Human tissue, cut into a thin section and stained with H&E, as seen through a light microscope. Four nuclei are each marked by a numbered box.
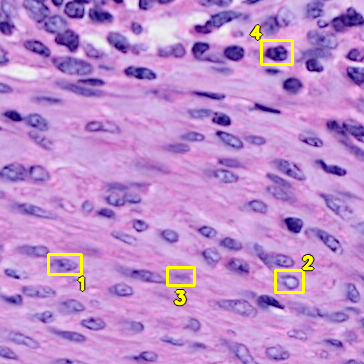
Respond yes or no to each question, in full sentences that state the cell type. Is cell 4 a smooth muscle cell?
No, the marked cell 4 is not a smooth muscle cell, being instead a lymphocyte.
